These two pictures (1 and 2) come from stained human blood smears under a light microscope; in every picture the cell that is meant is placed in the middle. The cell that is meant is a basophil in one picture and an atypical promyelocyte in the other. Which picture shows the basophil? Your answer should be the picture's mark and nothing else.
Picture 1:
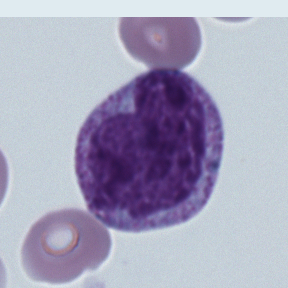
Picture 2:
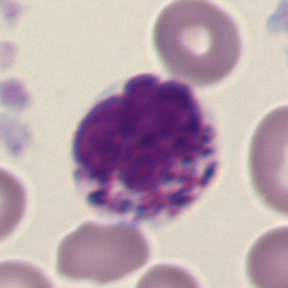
2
